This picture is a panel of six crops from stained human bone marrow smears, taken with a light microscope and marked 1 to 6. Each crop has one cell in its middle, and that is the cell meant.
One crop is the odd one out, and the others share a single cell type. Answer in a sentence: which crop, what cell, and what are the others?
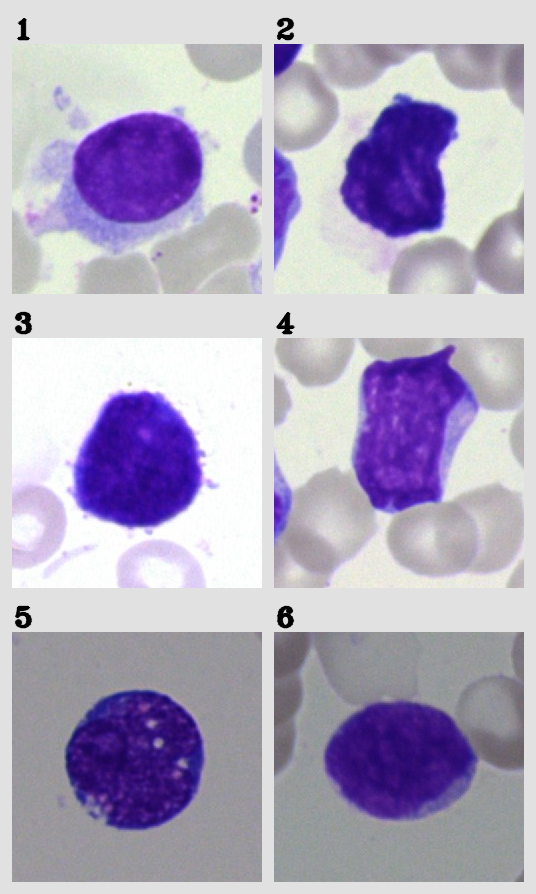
The exception is crop 1: it is a hairy cell, and the others are all blasts.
